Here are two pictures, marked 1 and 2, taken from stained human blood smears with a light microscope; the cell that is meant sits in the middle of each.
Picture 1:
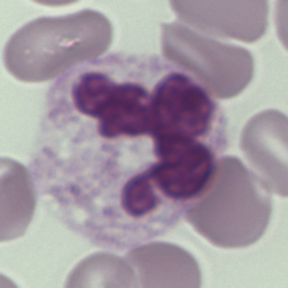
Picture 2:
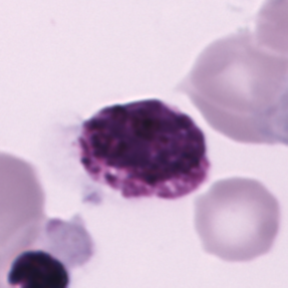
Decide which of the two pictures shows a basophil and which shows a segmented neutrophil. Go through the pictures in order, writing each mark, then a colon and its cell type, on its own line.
1: segmented neutrophil
2: basophil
